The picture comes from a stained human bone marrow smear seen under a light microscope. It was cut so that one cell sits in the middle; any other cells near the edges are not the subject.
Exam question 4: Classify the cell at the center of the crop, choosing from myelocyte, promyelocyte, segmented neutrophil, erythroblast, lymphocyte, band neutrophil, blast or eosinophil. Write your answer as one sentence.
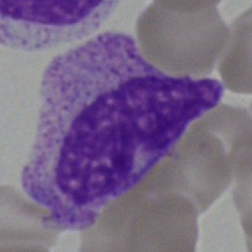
The central cell shown in this smear crop is a myelocyte.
